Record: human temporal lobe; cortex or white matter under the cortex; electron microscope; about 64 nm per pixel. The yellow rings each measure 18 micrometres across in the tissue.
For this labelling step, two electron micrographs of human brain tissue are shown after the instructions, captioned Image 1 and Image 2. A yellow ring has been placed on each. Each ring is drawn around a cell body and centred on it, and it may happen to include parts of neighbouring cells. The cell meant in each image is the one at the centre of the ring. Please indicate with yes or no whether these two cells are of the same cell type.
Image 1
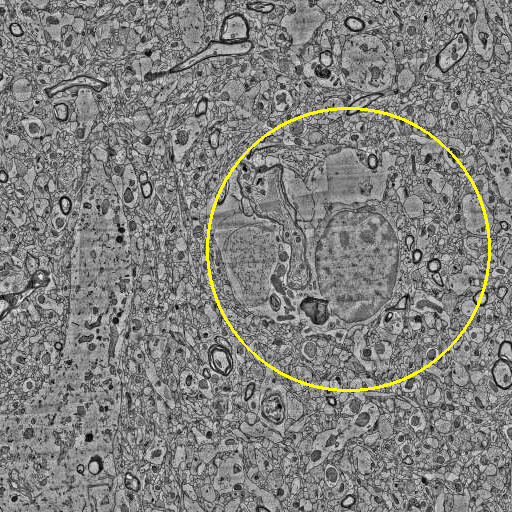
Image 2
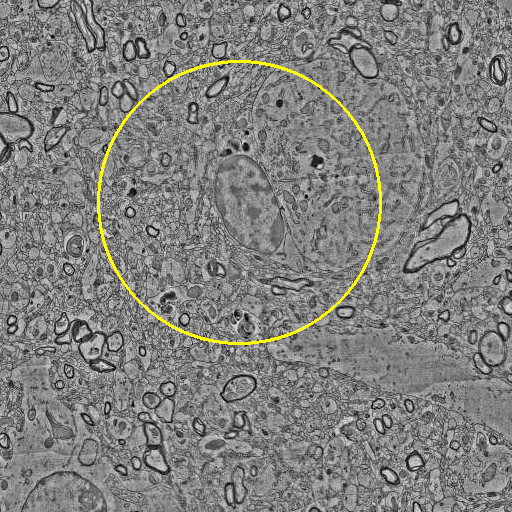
no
